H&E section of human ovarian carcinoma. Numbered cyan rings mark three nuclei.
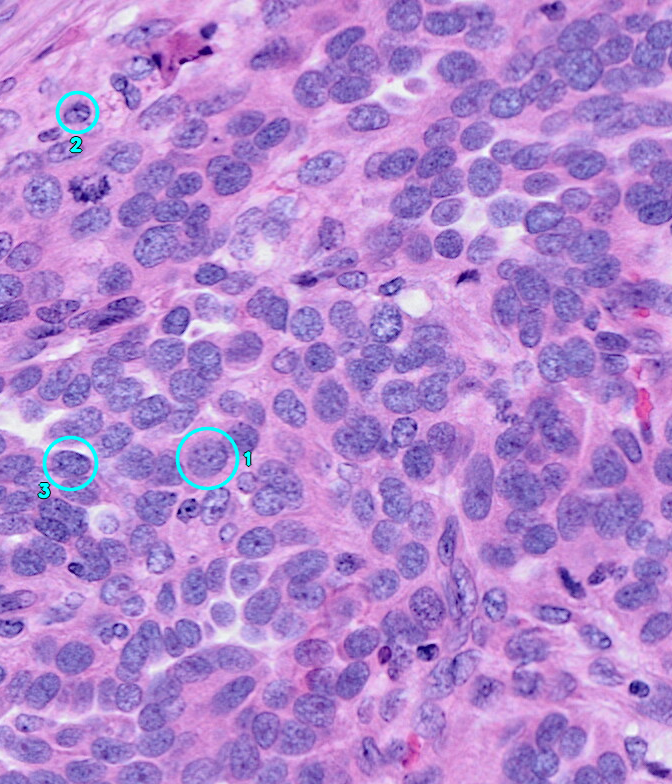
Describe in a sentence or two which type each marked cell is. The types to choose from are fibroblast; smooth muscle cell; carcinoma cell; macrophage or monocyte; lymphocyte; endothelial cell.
Cells 1 and 3 are carcinoma cells. Cell 2 is a macrophage or monocyte.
